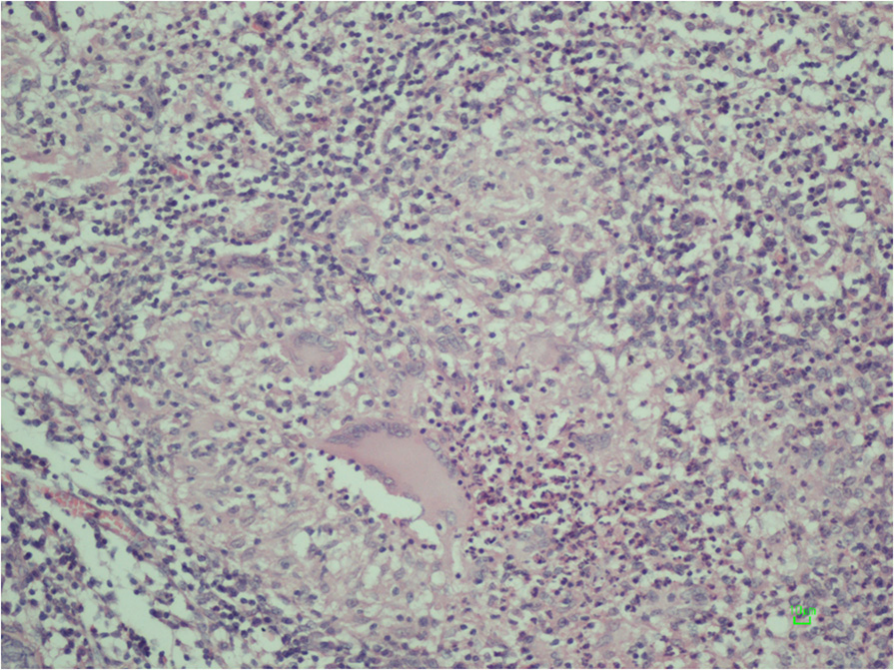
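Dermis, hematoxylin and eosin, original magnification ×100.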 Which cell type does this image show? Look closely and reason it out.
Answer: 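Large cells with abundant pink cytoplasm lie near the centre and lower centre. Several nuclei lie in a row along the edge of these large cells. So: Langerhans-like giant cells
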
